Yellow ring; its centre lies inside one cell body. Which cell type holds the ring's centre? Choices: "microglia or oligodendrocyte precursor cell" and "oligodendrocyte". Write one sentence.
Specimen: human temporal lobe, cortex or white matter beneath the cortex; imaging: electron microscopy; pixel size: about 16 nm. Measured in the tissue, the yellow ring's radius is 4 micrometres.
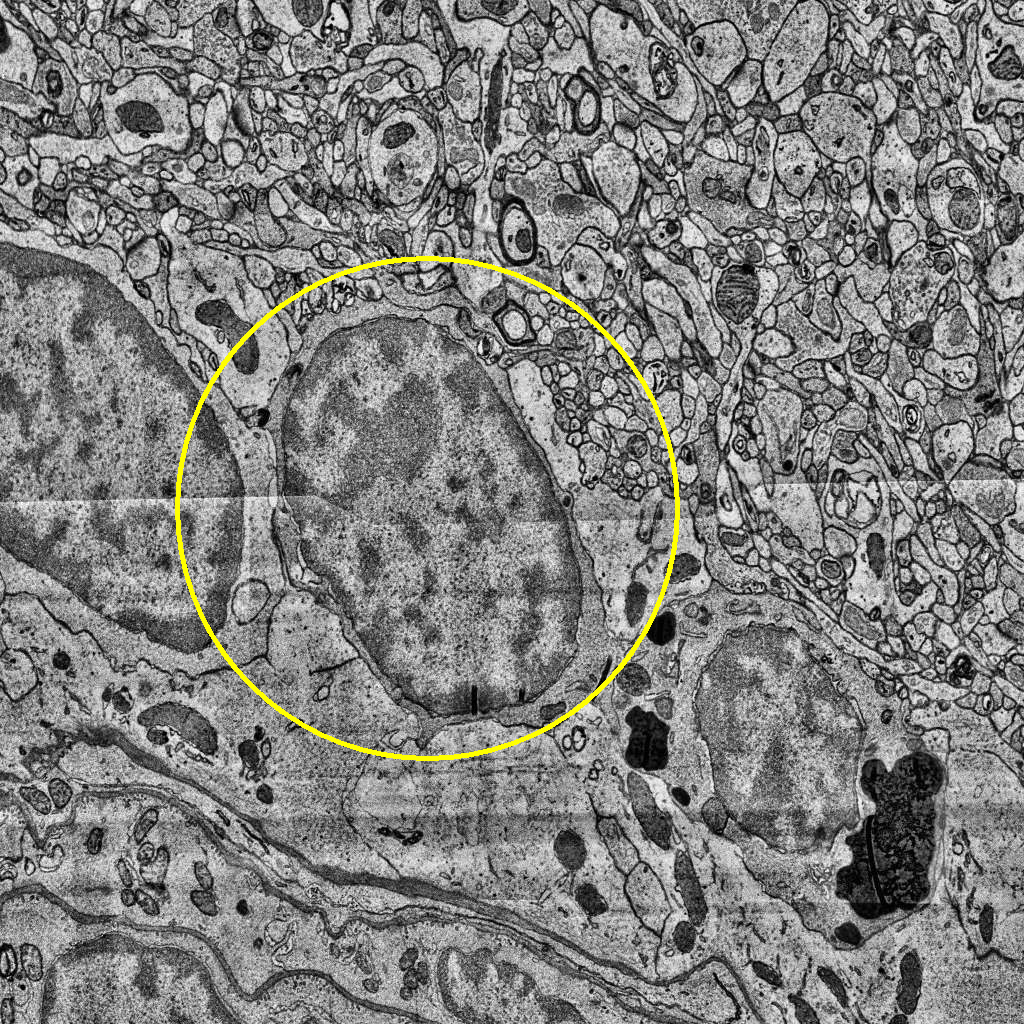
At the centre of the ring sits an oligodendrocyte.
